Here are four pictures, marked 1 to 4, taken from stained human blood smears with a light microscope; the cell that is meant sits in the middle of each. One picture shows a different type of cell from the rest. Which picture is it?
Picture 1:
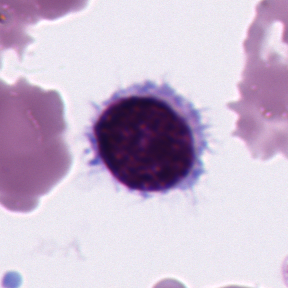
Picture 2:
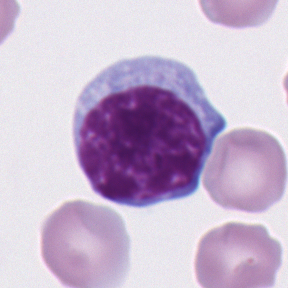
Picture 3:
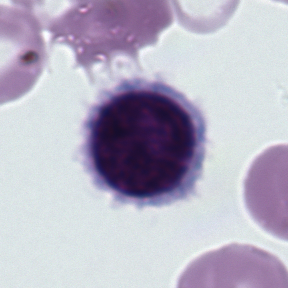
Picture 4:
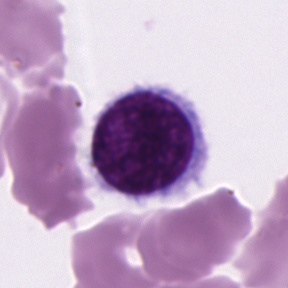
2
